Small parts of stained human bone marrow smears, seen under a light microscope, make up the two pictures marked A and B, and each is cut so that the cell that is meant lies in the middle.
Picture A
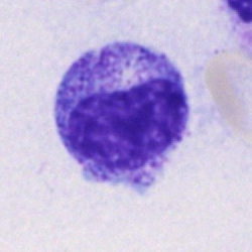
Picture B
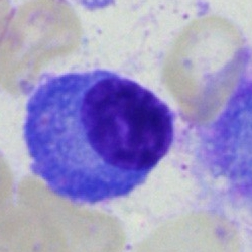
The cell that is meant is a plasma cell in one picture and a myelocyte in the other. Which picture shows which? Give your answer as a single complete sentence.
Picture B shows a plasma cell, while picture A shows a myelocyte.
